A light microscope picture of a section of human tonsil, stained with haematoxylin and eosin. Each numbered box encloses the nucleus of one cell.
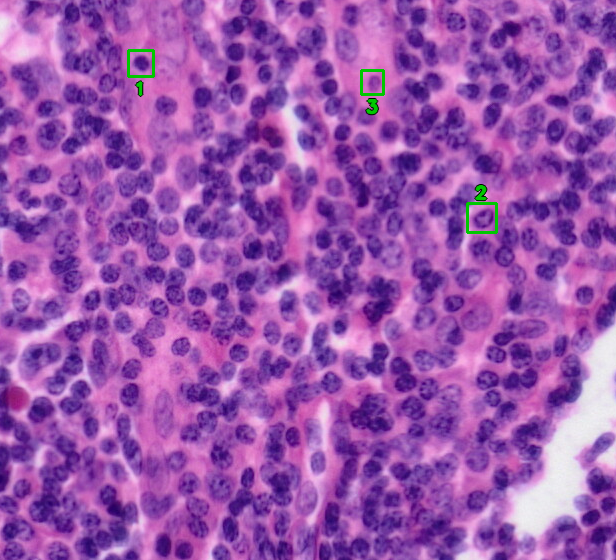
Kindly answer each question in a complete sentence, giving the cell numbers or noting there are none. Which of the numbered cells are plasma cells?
Among the cells marked with numbers, the only one that is a plasma cell is number 2.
